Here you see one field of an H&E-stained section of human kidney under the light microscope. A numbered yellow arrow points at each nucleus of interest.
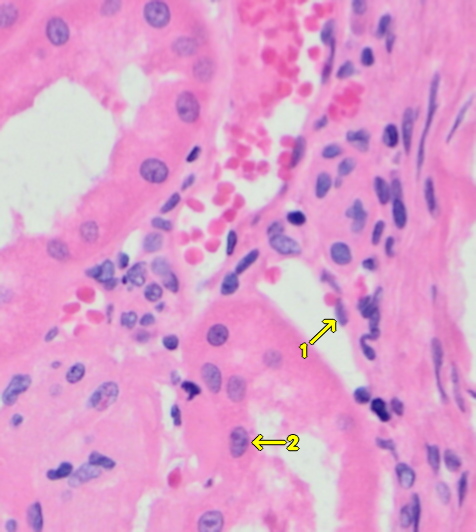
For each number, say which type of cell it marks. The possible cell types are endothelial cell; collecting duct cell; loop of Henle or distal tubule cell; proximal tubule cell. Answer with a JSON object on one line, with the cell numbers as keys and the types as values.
{"1": "endothelial cell", "2": "proximal tubule cell"}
